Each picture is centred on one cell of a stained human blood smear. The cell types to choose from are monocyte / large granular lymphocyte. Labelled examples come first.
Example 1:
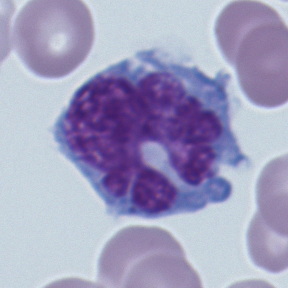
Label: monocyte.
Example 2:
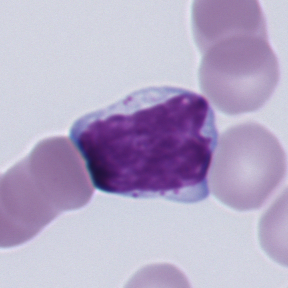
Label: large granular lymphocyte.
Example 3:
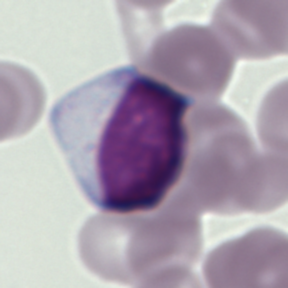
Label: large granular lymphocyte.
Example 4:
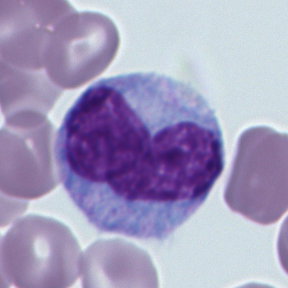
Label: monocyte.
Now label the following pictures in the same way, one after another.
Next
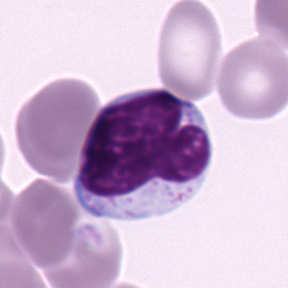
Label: large granular lymphocyte.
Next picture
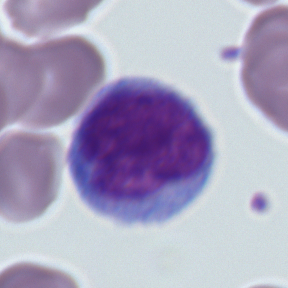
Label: monocyte.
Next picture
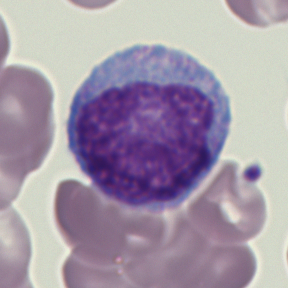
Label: monocyte.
